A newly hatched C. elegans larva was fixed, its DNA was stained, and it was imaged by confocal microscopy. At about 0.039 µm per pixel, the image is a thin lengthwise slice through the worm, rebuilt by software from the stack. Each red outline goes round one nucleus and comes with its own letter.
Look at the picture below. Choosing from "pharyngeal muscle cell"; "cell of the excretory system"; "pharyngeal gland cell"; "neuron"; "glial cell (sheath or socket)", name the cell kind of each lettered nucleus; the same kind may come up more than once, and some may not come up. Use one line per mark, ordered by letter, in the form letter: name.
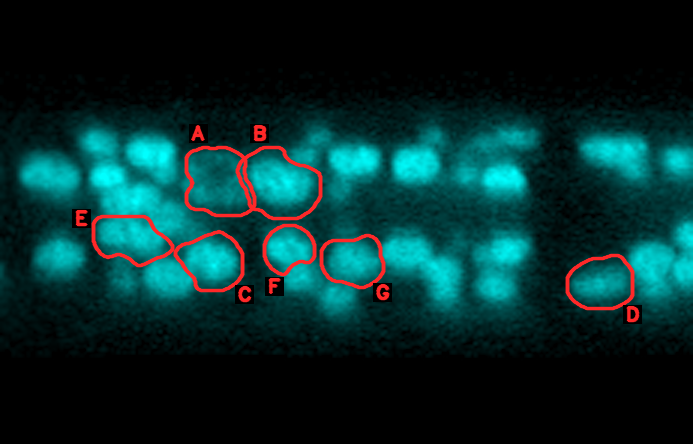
A: cell of the excretory system
B: cell of the excretory system
C: neuron
D: glial cell (sheath or socket)
E: pharyngeal muscle cell
F: neuron
G: neuron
